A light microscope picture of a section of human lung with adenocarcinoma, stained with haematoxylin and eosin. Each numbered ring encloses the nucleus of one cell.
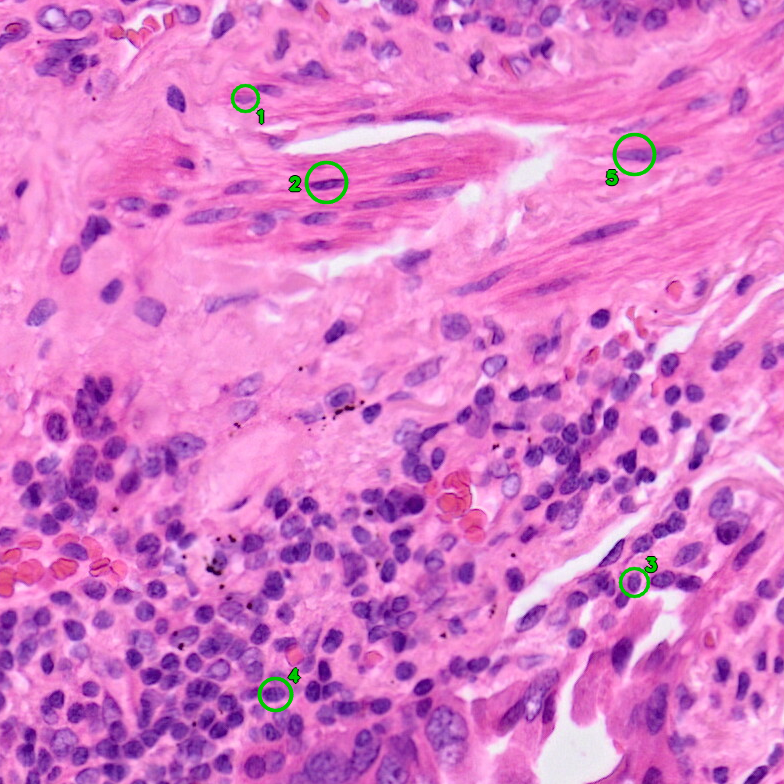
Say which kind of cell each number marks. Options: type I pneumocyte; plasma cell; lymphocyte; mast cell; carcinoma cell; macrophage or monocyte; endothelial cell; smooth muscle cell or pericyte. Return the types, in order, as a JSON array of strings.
["smooth muscle cell or pericyte", "smooth muscle cell or pericyte", "lymphocyte", "lymphocyte", "smooth muscle cell or pericyte"]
